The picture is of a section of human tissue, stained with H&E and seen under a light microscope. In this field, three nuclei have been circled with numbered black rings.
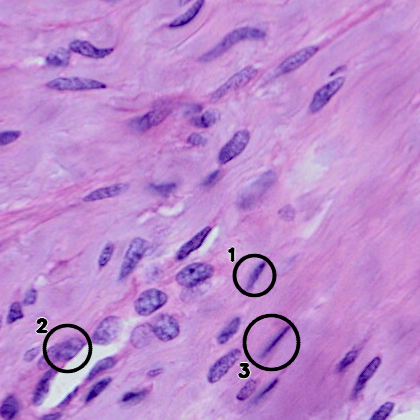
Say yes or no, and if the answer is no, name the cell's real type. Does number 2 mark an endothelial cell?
Yes.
